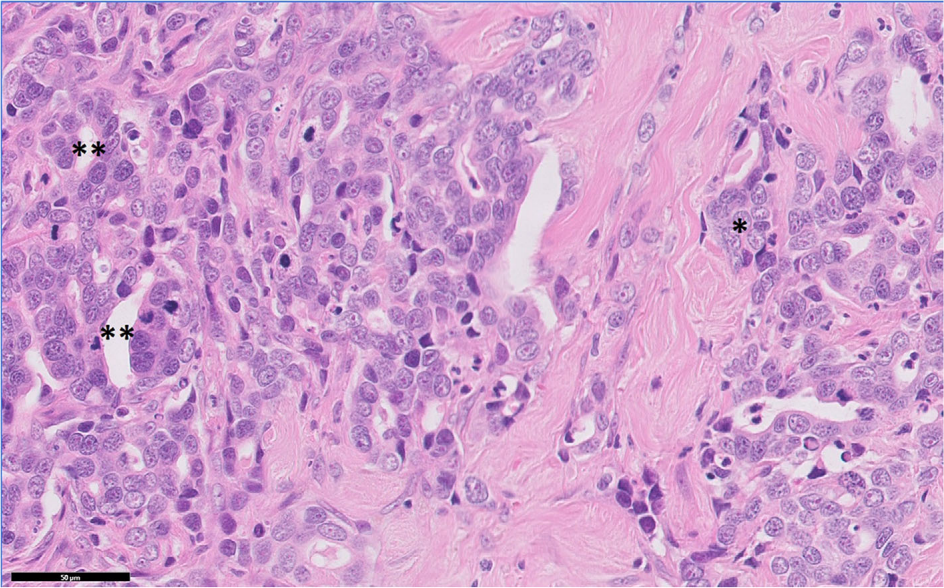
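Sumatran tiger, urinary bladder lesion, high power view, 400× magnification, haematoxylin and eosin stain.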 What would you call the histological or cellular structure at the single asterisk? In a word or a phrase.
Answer: solid nests and packets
